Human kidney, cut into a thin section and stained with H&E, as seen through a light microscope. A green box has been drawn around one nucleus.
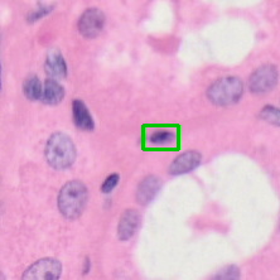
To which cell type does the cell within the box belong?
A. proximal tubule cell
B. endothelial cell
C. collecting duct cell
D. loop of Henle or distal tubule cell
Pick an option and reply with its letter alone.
B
